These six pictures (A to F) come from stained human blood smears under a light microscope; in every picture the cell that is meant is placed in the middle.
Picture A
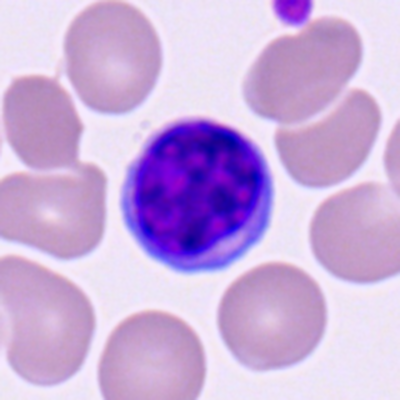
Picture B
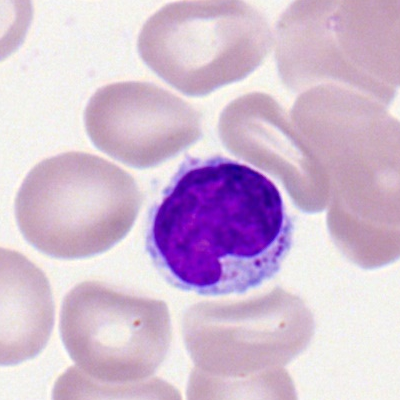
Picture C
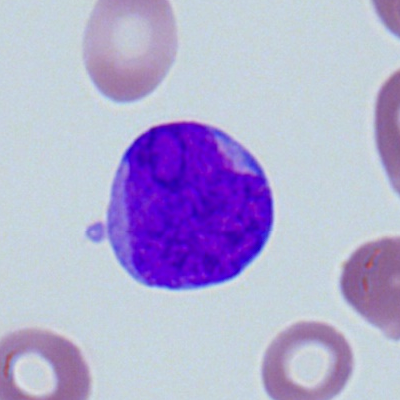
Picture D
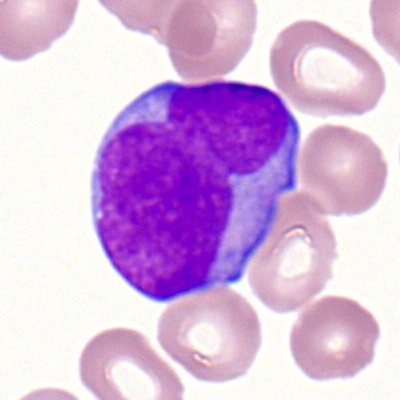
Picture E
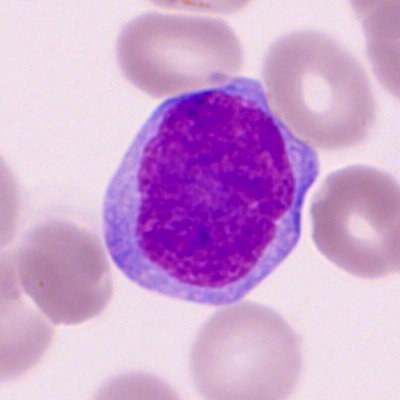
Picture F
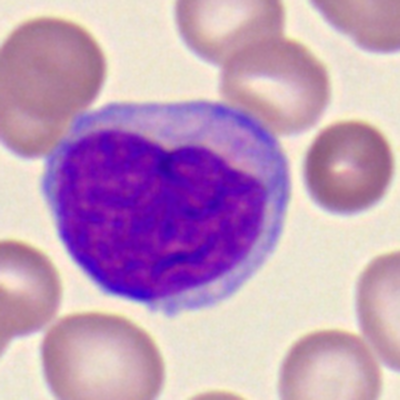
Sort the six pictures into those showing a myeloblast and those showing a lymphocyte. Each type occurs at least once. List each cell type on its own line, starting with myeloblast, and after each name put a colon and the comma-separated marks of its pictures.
myeloblast: C, D, E, F
lymphocyte: A, B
